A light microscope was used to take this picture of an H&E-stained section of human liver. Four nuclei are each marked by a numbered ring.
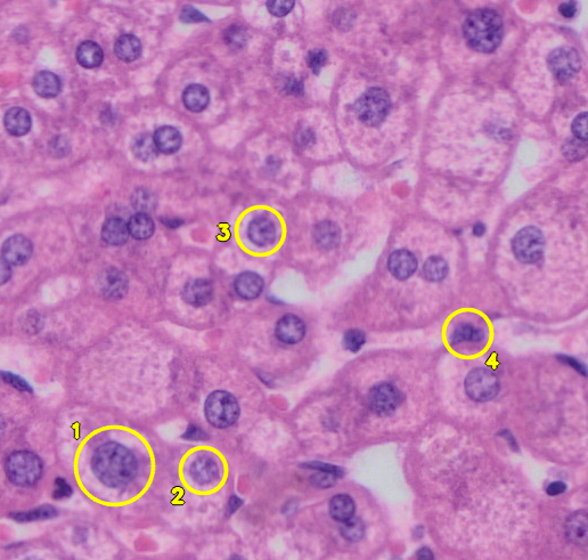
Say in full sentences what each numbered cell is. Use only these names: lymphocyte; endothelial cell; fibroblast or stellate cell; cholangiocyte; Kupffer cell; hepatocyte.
Cell 1 is a hepatocyte, cell 2 is a hepatocyte, cell 3 is a hepatocyte and cell 4 is a fibroblast or stellate cell.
